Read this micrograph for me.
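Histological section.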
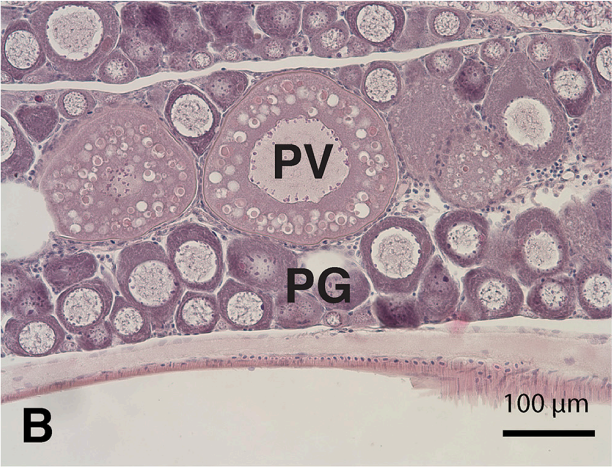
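A stained section of ovary packed with follicles of two sizes: many small oocytes with dense purple cytoplasm and a large pale central nucleus, and a few much larger oocytes whose pink cytoplasm is filled with clear round vesicles. Each oocyte is wrapped by a thin flat cell layer, and the tissue is bounded along the bottom by a thin pink wall.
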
